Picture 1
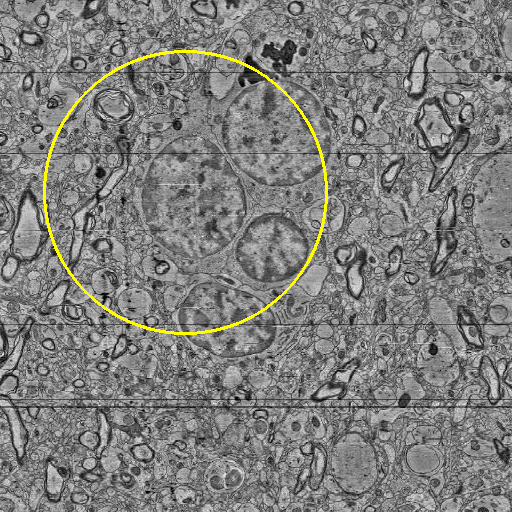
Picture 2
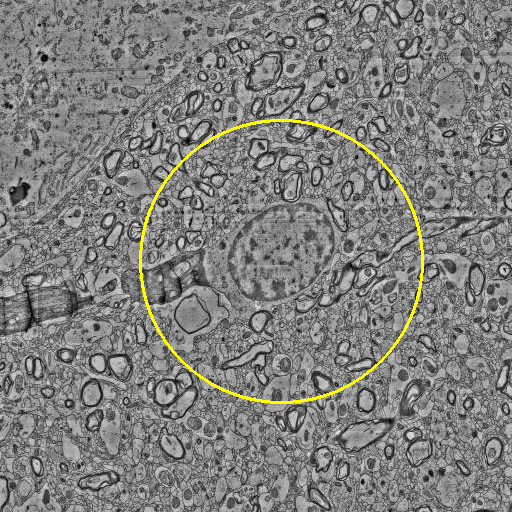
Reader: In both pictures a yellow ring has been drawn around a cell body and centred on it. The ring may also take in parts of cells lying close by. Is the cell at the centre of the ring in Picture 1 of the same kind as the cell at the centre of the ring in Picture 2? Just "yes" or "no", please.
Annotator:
yes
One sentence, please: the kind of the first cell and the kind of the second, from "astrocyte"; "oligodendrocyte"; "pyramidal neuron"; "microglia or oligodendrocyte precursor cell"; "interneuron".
The ring centre holds an oligodendrocyte in each of the two pictures.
